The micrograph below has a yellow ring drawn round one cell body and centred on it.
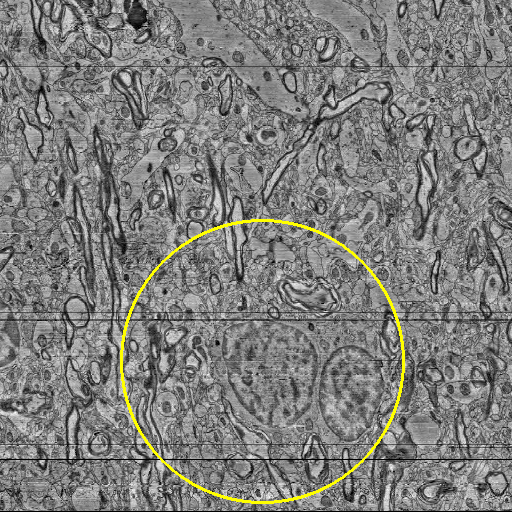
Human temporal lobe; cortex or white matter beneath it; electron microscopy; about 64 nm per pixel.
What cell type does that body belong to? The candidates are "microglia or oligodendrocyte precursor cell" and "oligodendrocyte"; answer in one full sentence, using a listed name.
This is an oligodendrocyte, the cell whose body lies at the centre of the ring.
